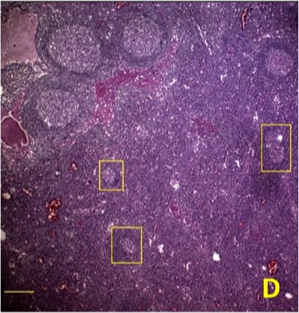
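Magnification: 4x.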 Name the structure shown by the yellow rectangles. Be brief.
Germinal center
